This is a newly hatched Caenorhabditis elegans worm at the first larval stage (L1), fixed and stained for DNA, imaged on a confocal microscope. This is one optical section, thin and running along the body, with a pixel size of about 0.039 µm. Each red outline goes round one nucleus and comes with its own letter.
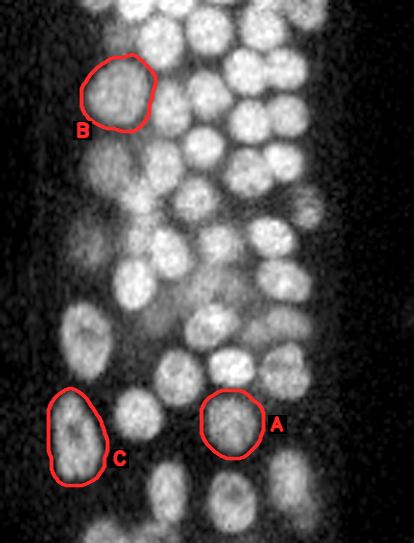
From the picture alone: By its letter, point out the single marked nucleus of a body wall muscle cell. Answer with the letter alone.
C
